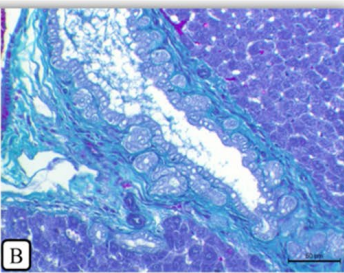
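This is a portal area of liver with many bile duct profiles set in abundant fibrous tissue. A broad zone of blue-green collagen fills the upper and central field, surrounding a large, irregular, pale vessel-like lumen. Within the fibrous tissue, numerous small round ducts are packed side by side, each lined by a single layer of cuboidal cells with round nuclei around a small lumen. Bundles of fibres run between and around the ducts. Along the lower edge, purple-blue hepatocytes in cords border the fibrous zone, which is far wider than a normal portal tract.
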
